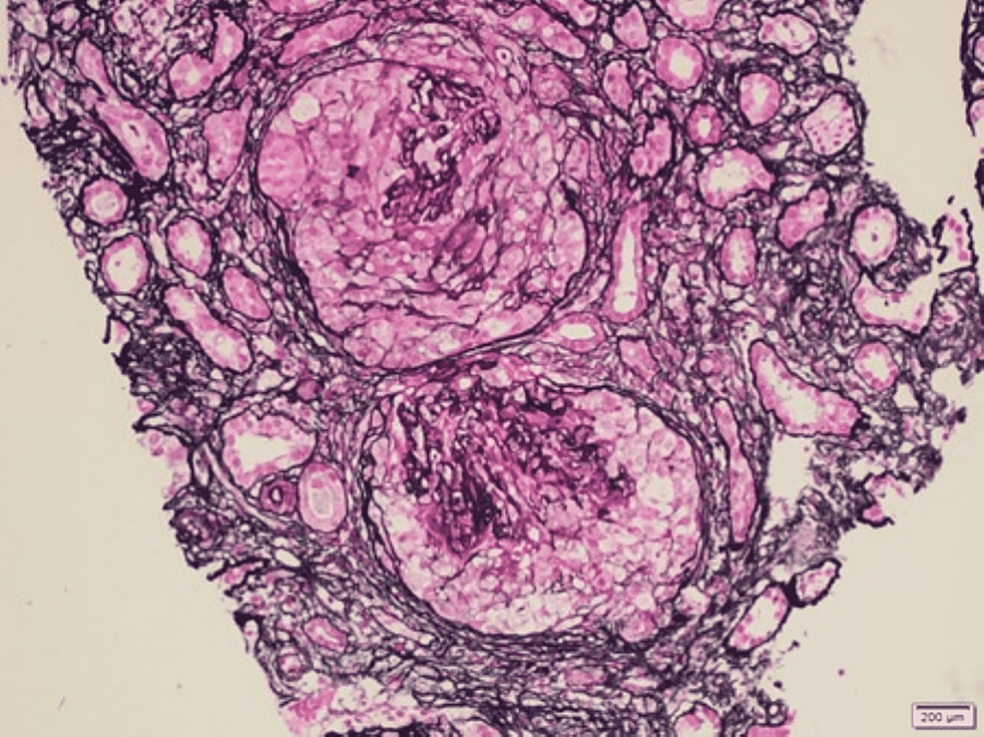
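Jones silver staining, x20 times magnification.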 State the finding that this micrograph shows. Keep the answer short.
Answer: circumferential cellular crescents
